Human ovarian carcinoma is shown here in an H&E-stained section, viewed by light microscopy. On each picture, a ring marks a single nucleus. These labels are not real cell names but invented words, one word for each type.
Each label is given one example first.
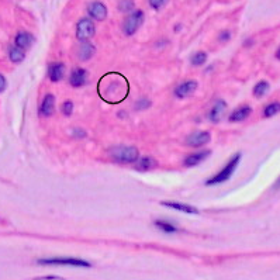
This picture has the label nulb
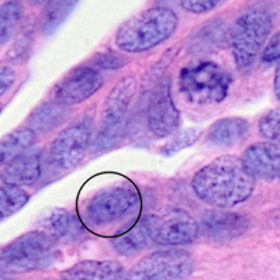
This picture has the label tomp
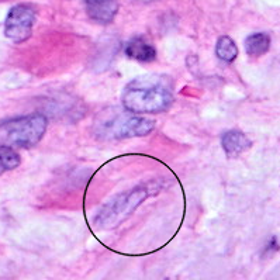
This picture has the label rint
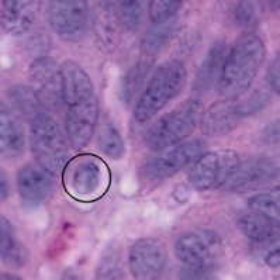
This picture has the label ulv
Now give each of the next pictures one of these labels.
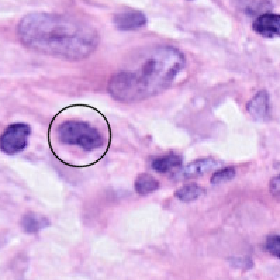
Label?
ulv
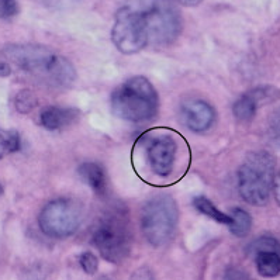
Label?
ulv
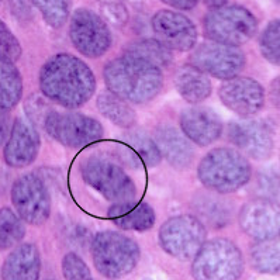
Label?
tomp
